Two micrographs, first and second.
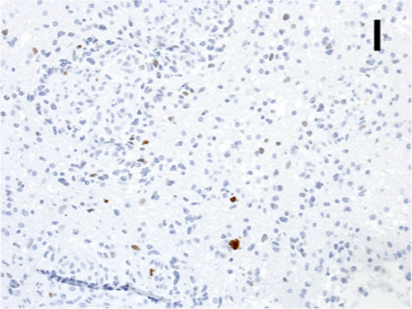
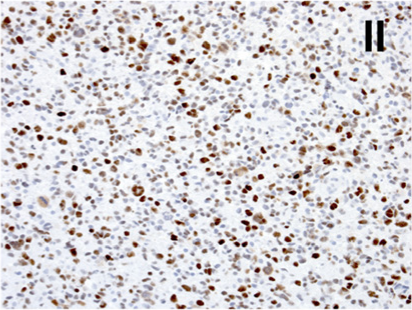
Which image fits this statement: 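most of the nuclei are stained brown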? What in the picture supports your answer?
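First image: only a handful of scattered nuclei are brown, the rest are blue.
Conclusion: the second image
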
